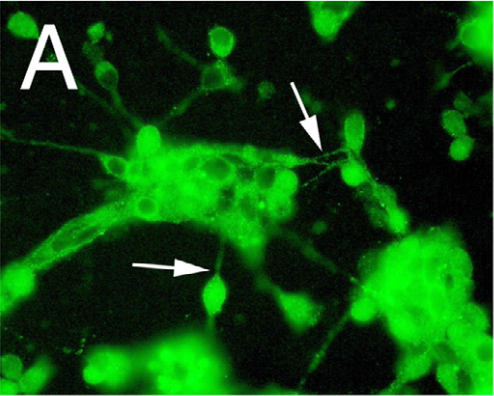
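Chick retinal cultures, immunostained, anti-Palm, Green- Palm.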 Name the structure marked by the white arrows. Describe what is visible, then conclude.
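Fine processes resembling axons. The arrows point to thin green threads extending from small rounded cell bodies. The threads are much narrower than the cell bodies and run across the dark background.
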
